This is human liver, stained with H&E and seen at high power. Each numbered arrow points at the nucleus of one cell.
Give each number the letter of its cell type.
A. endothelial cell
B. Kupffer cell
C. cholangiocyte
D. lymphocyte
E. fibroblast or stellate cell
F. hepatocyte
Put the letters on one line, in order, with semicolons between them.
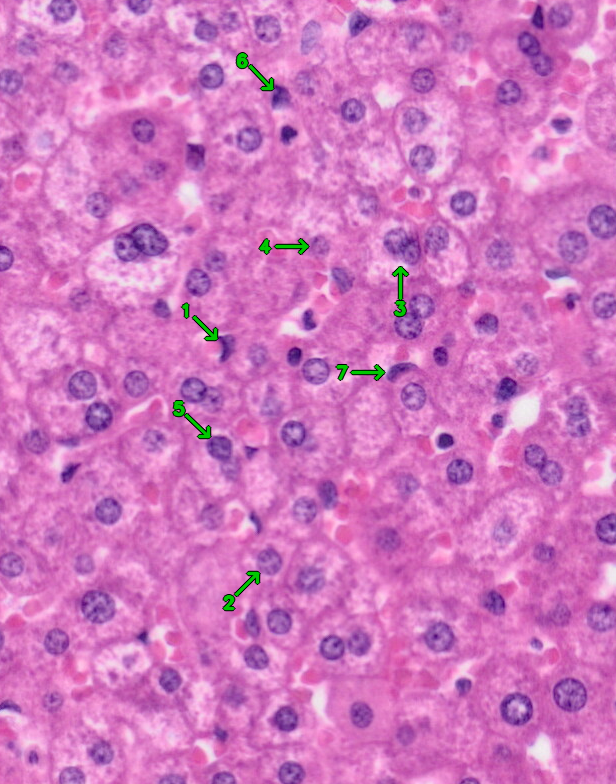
A; F; F; F; F; A; A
